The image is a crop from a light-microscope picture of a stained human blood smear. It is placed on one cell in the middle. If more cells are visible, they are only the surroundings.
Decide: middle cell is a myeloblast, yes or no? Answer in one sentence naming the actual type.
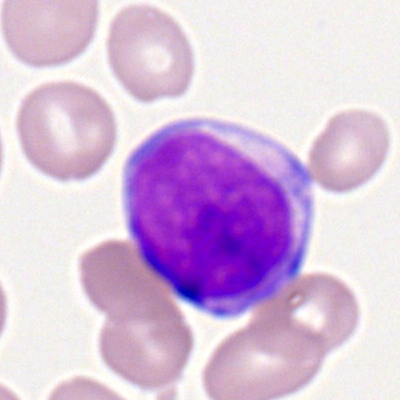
Yes, this is a myeloblast, the cell in the middle of the crop.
